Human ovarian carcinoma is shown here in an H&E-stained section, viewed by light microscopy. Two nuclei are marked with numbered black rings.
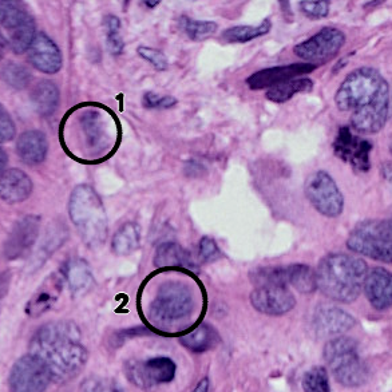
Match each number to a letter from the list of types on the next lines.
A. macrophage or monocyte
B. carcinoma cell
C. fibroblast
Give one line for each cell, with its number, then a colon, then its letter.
1: C
2: B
